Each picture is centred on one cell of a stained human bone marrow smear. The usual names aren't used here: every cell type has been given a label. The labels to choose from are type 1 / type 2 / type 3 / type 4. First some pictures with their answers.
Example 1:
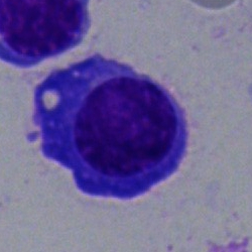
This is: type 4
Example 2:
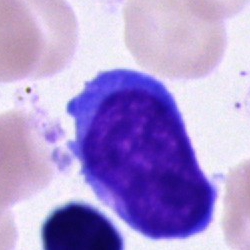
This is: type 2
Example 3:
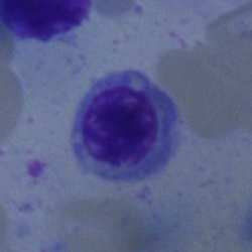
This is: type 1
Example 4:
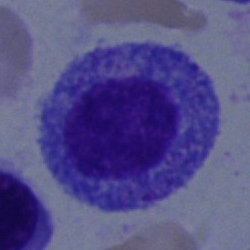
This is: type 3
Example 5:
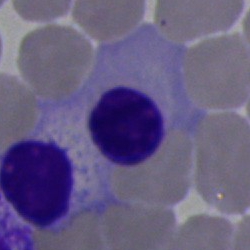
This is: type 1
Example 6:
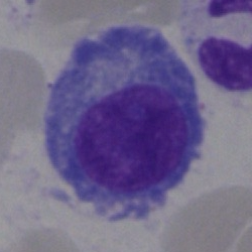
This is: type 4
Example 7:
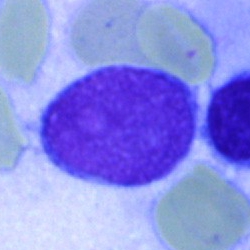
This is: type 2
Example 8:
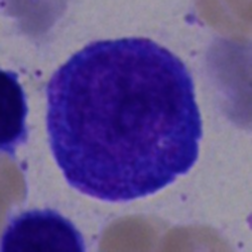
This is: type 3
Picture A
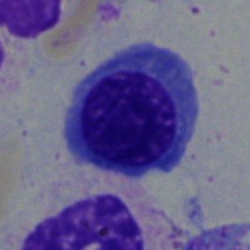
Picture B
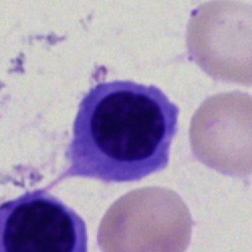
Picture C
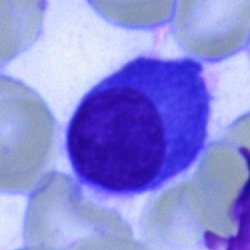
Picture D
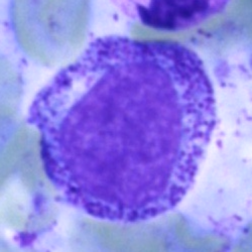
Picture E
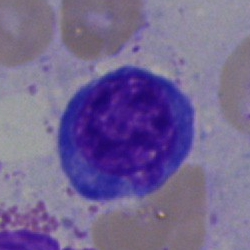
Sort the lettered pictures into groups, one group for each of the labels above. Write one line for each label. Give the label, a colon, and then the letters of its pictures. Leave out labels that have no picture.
type 1: A, B, E
type 3: D
type 4: C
